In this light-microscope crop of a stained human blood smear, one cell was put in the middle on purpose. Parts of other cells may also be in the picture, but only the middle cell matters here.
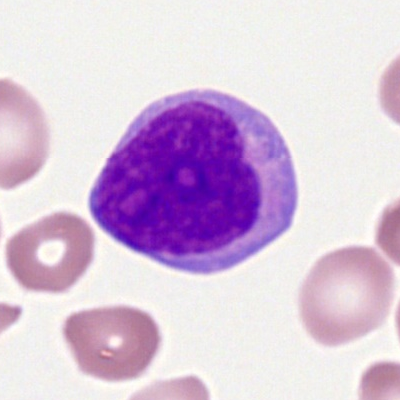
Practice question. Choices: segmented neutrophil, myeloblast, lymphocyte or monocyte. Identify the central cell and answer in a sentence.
The target cell in the middle of the crop is a myeloblast.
